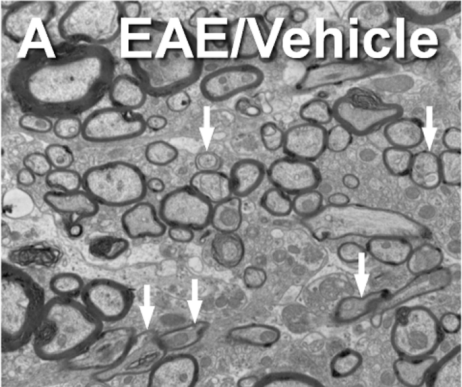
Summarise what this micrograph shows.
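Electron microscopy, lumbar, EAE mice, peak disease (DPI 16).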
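Cross-sectioned axons of the spinal cord white matter, seen as pale round profiles ringed by dark myelin of varying thickness. Some axons have thick sheaths, while others, including remyelinating axons, have only thin dark rims. Wide areas of pale, less ordered tissue with small profiles lie between the myelinated axons.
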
